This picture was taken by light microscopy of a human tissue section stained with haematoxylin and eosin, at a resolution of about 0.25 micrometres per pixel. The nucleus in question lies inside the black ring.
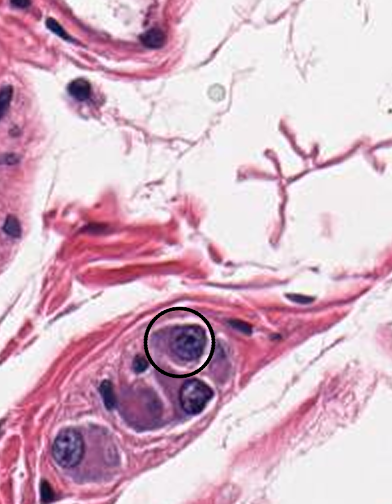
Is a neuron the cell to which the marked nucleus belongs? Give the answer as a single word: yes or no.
yes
